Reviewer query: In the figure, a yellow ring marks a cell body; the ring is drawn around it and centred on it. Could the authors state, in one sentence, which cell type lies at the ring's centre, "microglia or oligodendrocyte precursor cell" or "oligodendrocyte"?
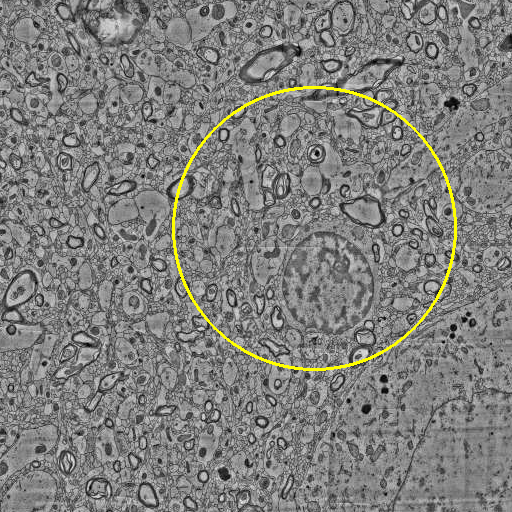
The ring is centred on an oligodendrocyte.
